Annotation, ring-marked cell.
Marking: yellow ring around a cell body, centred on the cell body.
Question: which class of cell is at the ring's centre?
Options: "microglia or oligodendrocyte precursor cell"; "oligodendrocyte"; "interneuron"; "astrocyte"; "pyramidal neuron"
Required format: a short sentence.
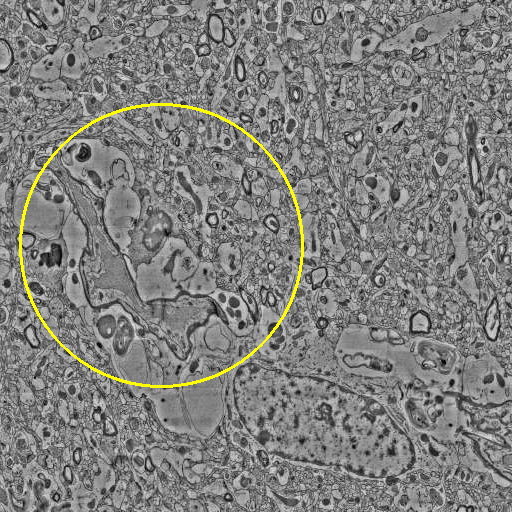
At the ring's centre is an oligodendrocyte.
